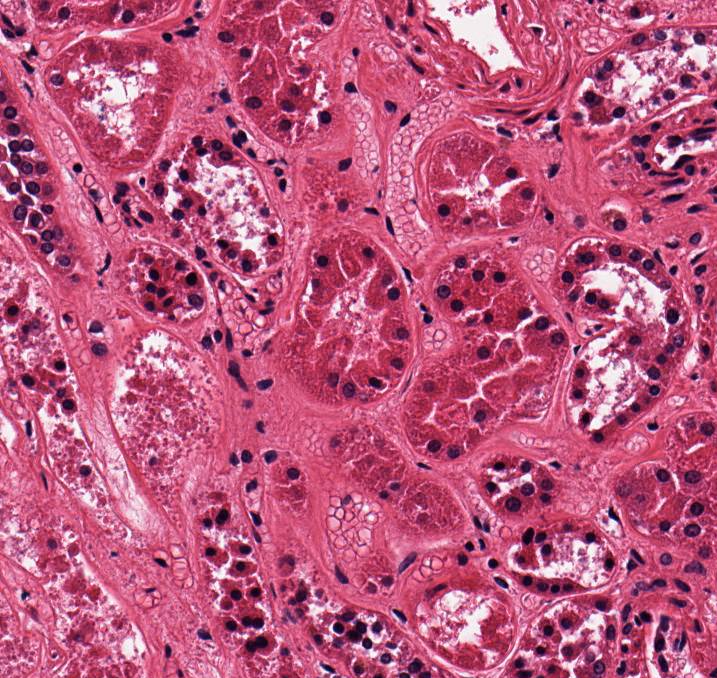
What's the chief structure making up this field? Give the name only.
cortical labyrinth of the kidney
